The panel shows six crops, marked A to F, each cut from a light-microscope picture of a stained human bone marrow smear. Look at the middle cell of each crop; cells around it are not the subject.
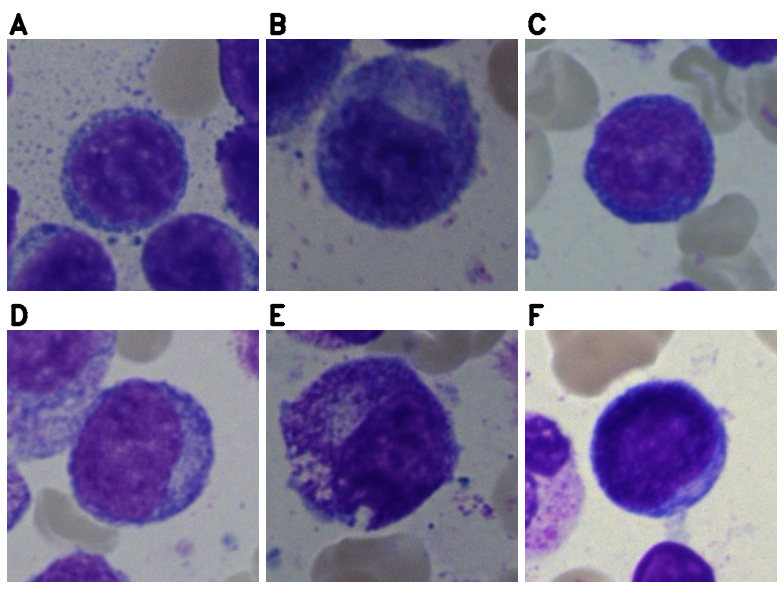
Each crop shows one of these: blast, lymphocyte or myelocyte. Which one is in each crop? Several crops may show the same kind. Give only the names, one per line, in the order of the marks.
lymphocyte
myelocyte
blast
blast
myelocyte
blast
